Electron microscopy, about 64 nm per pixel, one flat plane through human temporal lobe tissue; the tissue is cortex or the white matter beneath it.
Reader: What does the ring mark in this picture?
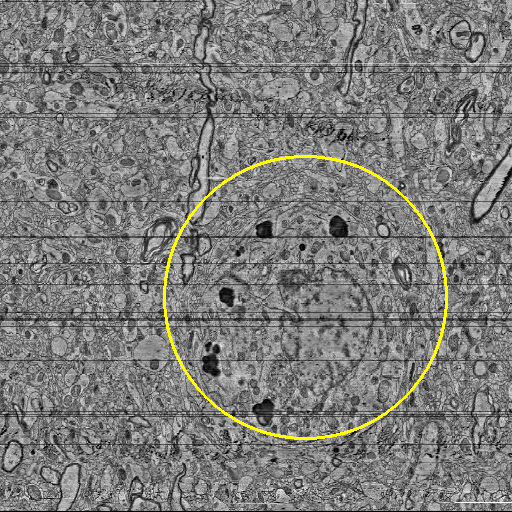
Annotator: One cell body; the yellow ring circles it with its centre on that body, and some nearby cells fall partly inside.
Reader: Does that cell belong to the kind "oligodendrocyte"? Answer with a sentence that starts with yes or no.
No, the cell at the ring's centre in this picture is of another kind.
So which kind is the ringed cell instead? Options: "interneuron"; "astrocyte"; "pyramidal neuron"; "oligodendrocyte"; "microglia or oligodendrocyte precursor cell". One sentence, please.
In this picture, the ring is centred on an interneuron.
